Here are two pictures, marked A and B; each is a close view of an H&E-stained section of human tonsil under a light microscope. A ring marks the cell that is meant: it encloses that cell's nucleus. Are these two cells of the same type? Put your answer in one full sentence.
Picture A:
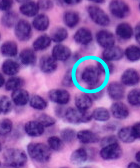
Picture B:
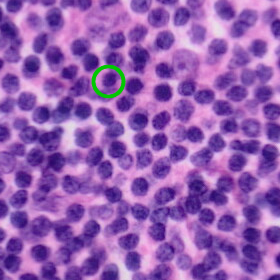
Yes; the cells in both pictures are small lymphocytes.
